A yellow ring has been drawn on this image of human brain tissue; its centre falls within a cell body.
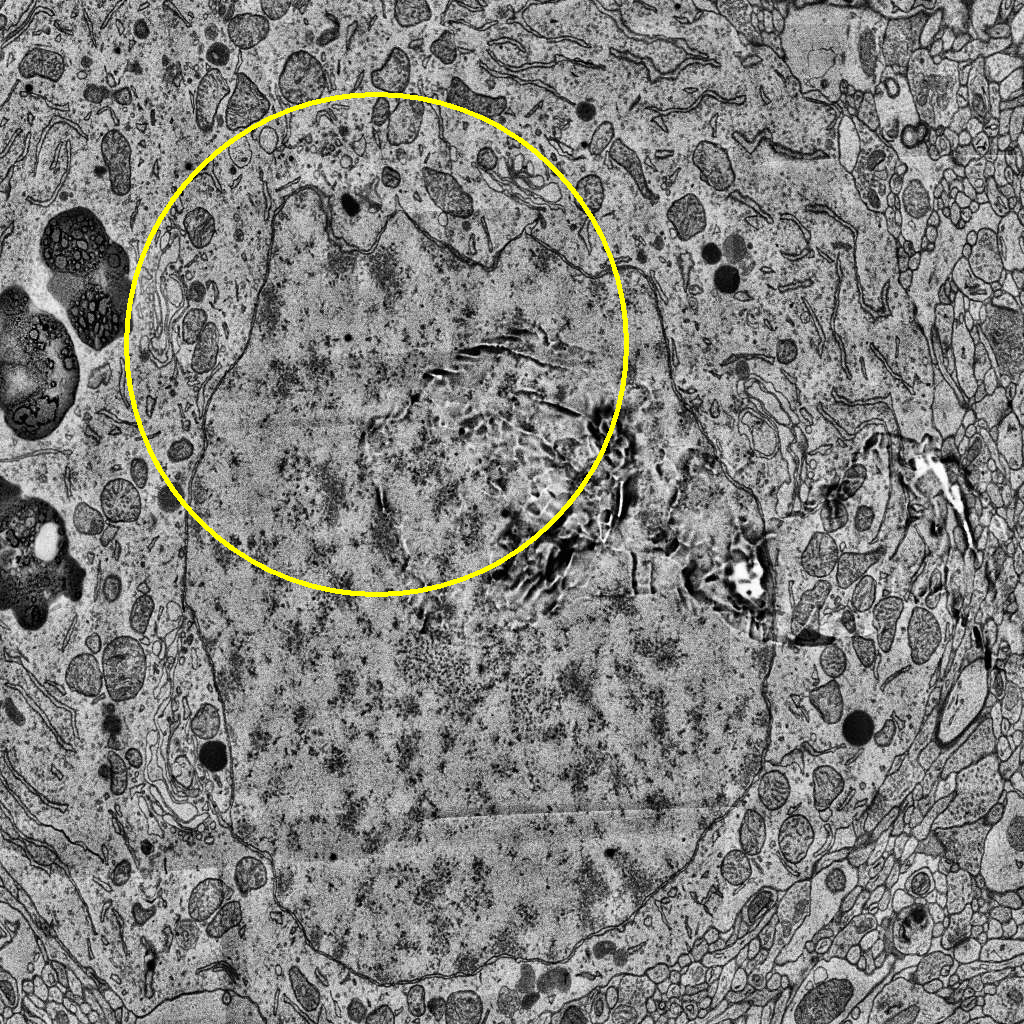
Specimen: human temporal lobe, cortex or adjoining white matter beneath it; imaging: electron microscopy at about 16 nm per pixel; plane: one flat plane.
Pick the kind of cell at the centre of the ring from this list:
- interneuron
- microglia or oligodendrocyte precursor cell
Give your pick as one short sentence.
The centre of the ring holds an interneuron.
